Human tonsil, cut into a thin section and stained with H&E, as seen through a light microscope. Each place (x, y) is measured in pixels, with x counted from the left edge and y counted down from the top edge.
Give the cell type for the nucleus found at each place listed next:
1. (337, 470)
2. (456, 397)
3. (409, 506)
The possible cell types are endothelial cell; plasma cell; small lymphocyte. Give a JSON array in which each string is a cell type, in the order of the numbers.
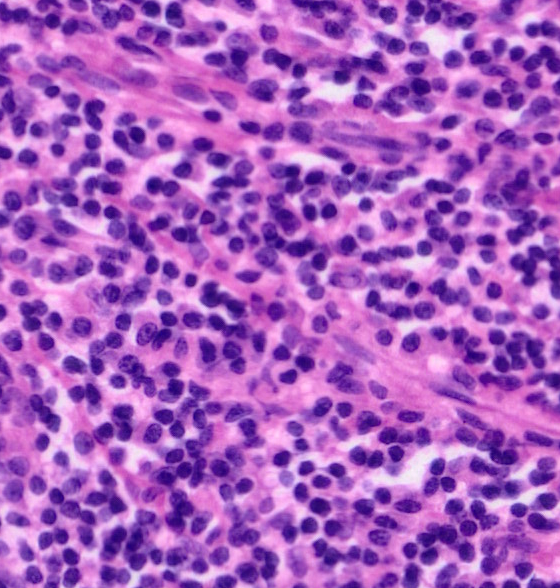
["small lymphocyte", "endothelial cell", "plasma cell"]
